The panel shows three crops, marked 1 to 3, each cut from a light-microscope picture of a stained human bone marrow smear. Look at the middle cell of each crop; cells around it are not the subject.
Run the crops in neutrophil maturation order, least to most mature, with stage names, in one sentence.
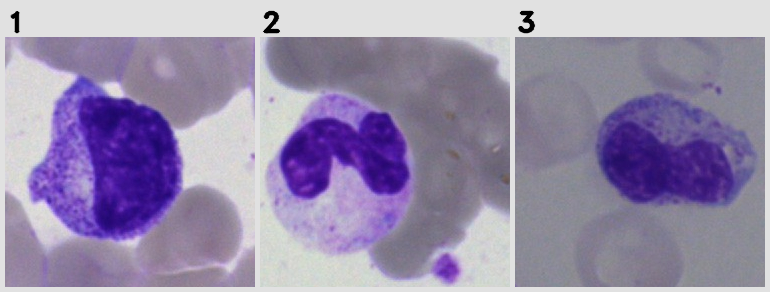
Counting from the least mature up to the most mature, the order is crop 1 (a myelocyte), crop 3 (a metamyelocyte) and crop 2 (a segmented neutrophil).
